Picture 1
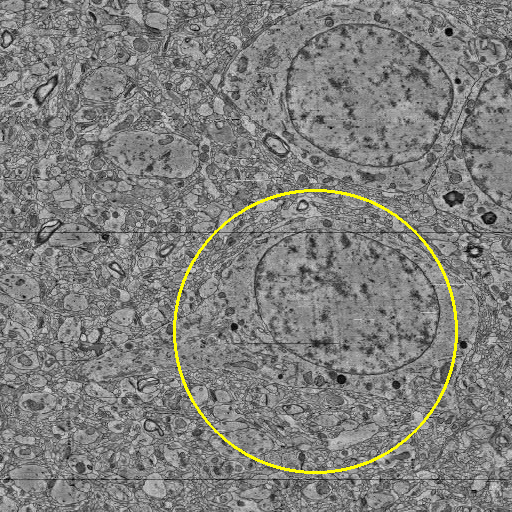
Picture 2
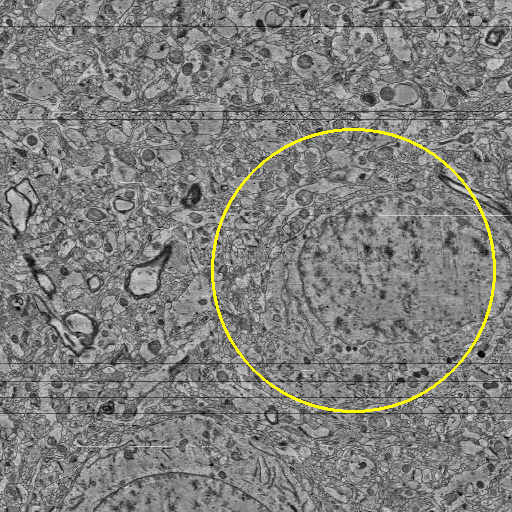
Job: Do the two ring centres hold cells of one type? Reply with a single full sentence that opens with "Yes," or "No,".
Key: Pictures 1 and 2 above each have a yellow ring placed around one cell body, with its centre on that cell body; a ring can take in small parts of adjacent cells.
No, the cells at the two ring centres are of two separate types.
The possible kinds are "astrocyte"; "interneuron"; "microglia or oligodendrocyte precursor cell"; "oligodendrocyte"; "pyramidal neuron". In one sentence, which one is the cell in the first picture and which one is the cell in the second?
The cell ringed in the second picture is an interneuron, whereas the one ringed in the first is a pyramidal neuron.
